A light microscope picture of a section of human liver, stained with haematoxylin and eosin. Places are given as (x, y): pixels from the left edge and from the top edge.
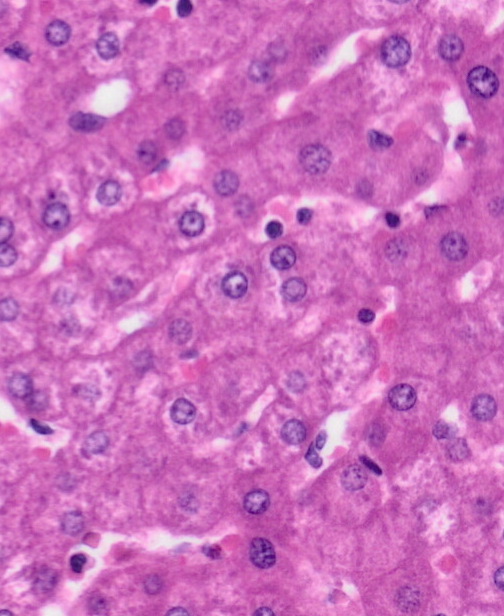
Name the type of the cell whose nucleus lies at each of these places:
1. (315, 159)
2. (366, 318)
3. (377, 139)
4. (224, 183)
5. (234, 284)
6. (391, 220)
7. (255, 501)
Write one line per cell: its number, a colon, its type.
1: hepatocyte
2: lymphocyte
3: endothelial cell
4: hepatocyte
5: hepatocyte
6: lymphocyte
7: hepatocyte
